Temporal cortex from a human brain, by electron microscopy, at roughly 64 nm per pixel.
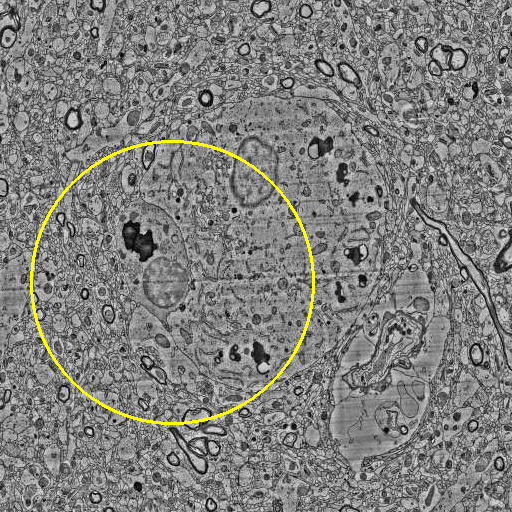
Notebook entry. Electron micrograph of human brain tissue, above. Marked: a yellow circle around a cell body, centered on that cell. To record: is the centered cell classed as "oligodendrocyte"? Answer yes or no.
Yes, the centered cell is classed that way.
